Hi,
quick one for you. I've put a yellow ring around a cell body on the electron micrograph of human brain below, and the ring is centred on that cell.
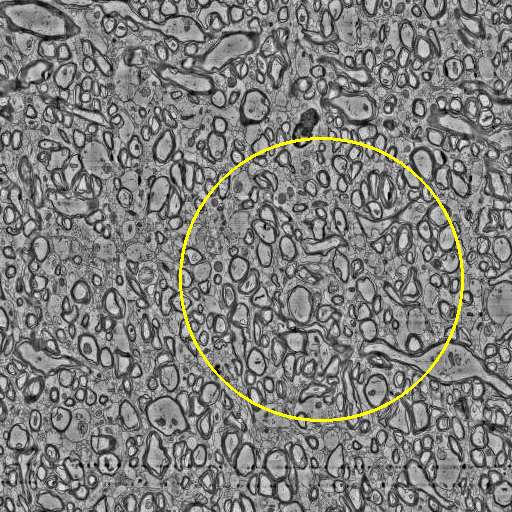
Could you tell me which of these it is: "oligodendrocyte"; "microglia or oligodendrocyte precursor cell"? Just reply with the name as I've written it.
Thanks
oligodendrocyte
